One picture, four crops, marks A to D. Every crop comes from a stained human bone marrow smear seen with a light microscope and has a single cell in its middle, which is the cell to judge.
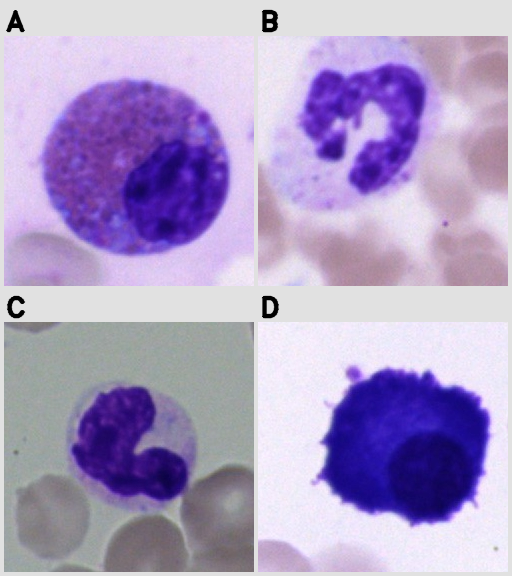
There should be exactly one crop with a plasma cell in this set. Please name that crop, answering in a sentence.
Look at crop D; that is the one with a plasma cell in its center.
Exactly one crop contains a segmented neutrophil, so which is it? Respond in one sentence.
Within this set, crop B is the one with a segmented neutrophil at its center.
